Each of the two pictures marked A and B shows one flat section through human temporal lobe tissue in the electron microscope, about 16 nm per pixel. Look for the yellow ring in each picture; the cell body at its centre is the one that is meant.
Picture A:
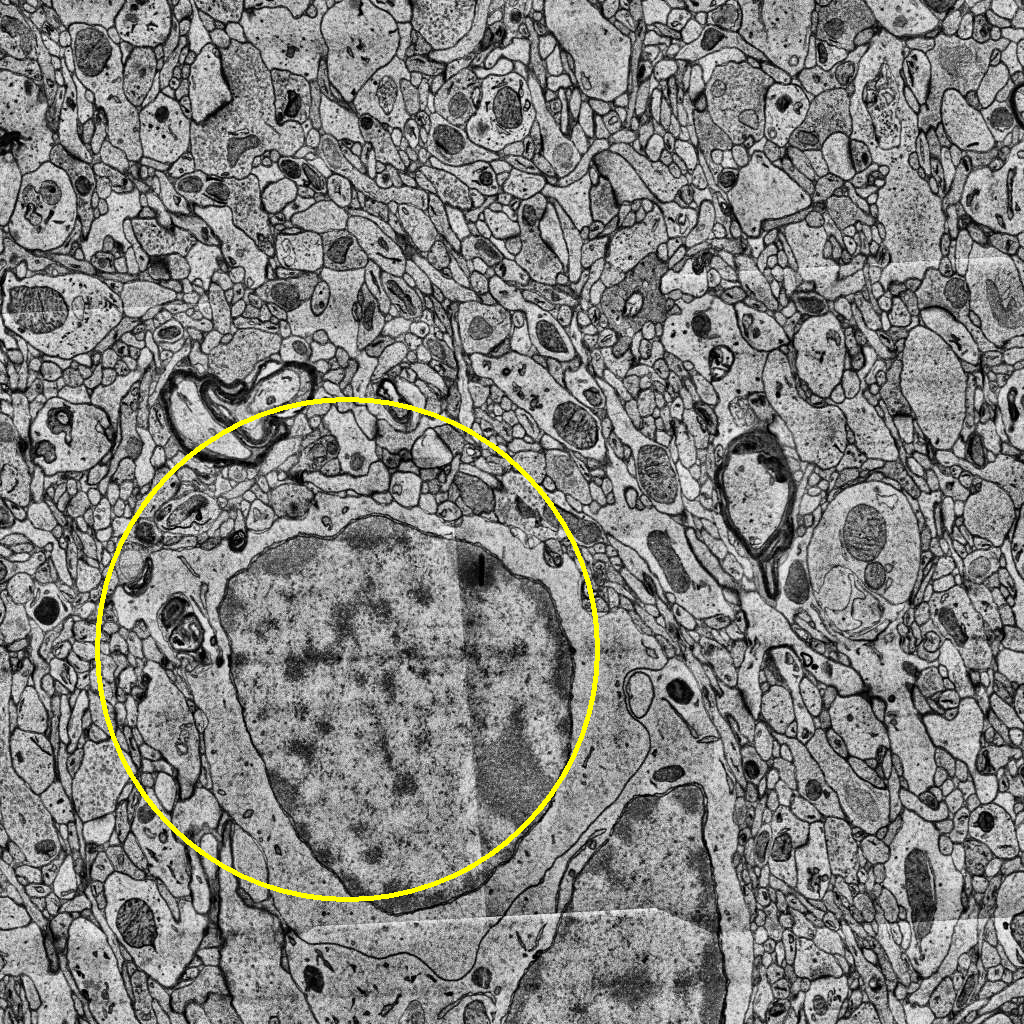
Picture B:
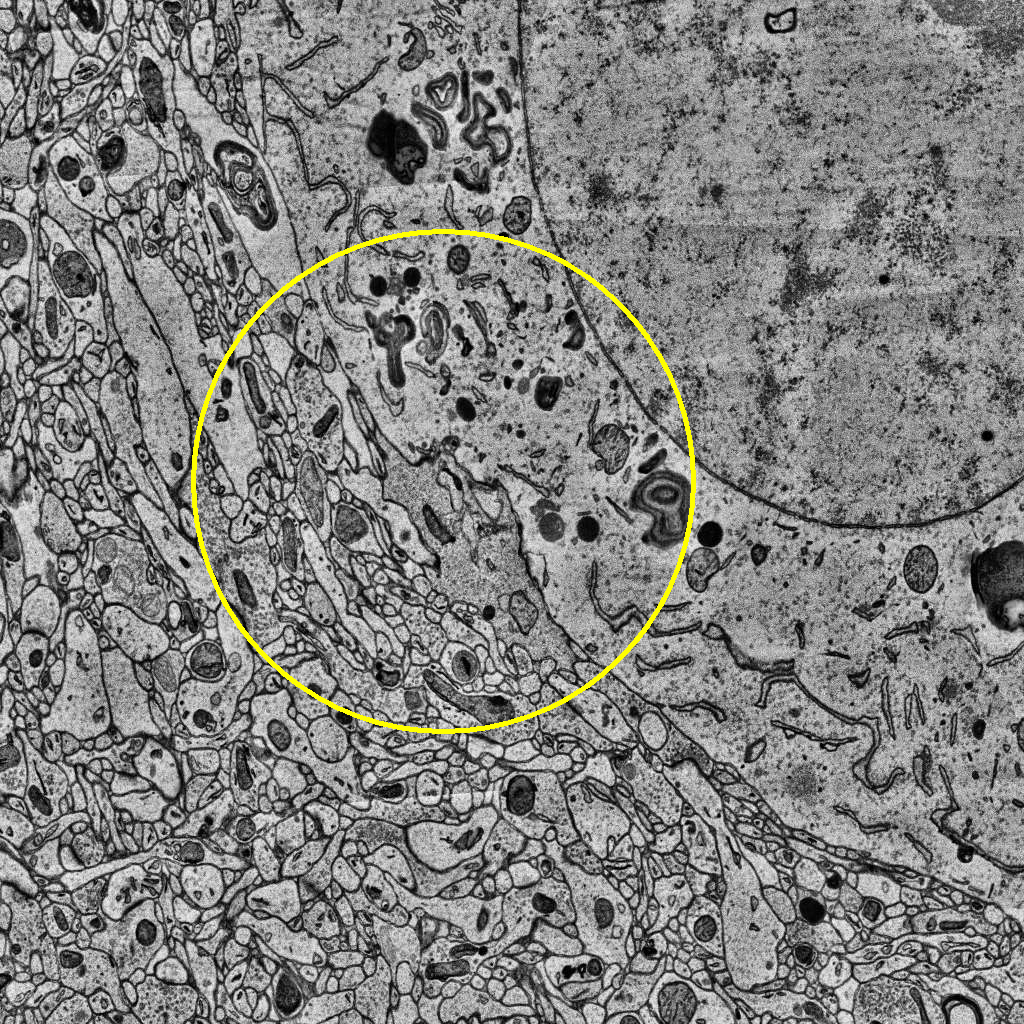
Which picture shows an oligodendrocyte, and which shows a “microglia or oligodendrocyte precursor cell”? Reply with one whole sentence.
It is picture A that shows a “microglia or oligodendrocyte precursor cell”, and picture B that shows an oligodendrocyte.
